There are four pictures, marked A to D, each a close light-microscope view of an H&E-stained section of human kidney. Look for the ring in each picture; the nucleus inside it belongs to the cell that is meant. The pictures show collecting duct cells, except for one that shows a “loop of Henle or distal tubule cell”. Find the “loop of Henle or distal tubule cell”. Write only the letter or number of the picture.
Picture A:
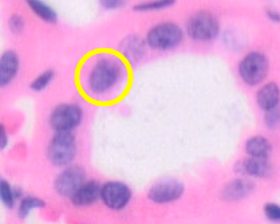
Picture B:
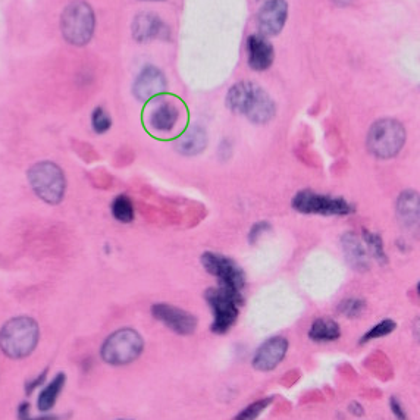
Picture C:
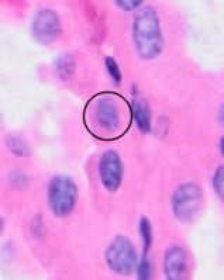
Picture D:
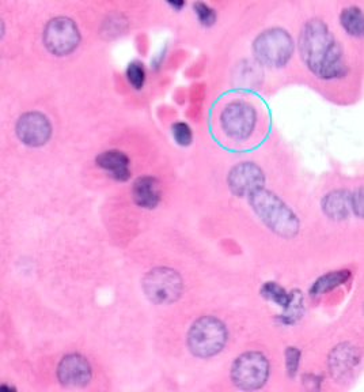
C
